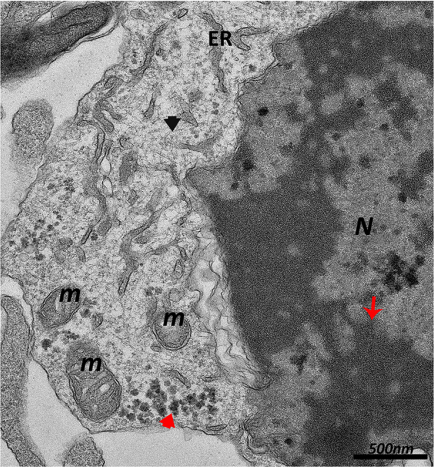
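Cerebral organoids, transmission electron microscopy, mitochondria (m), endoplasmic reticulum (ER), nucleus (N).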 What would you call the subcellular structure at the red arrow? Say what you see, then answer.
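Heterochromatin. The arrow lies within the nucleus among dark, dense chromatin patches.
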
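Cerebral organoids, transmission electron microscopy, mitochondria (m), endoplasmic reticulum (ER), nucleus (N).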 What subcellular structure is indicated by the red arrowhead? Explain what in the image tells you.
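A cluster of small, round, very dark granules lies in the cytoplasm near the cell edge. The granules are much smaller than the mitochondria.
Answer: glycogen deposits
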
